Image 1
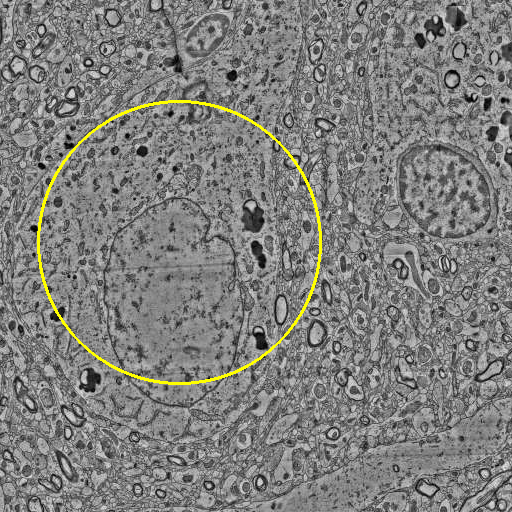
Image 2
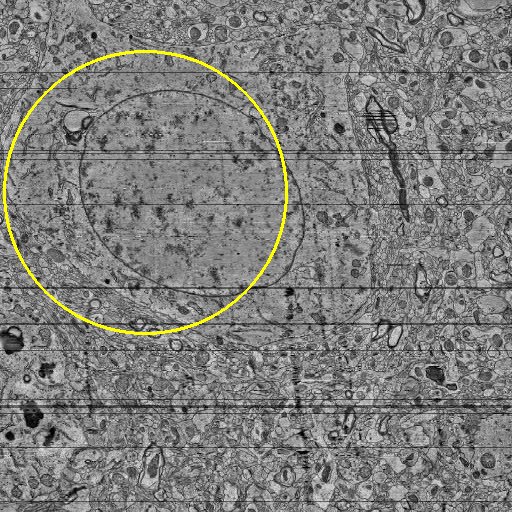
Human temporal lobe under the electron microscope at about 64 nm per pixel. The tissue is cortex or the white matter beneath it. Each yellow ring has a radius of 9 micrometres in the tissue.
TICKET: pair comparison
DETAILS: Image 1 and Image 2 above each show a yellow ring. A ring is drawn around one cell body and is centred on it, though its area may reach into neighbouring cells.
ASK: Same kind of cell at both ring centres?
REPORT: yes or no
yes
